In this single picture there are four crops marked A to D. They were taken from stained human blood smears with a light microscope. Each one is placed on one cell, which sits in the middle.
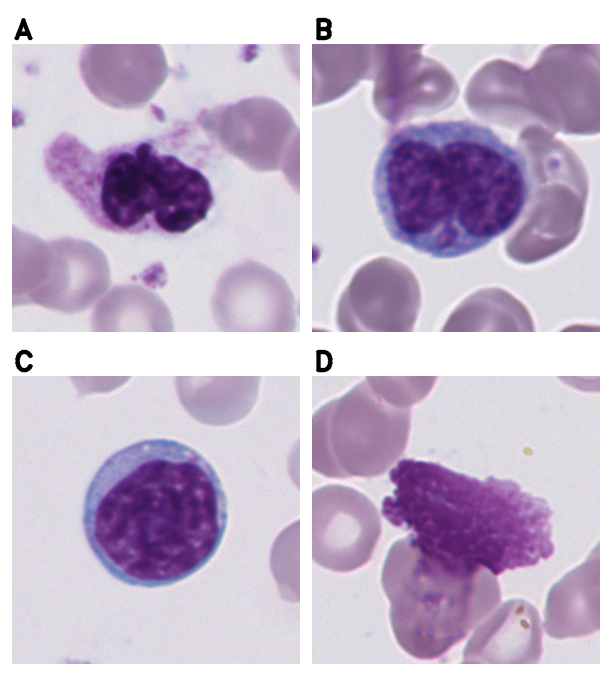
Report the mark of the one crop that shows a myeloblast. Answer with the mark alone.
C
